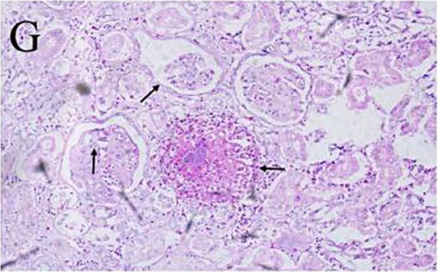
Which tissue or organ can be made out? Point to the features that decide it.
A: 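Round glomerular tufts sit inside clear capsular spaces. Many cross-sectioned tubules surround them.
Conclusion: kidney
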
